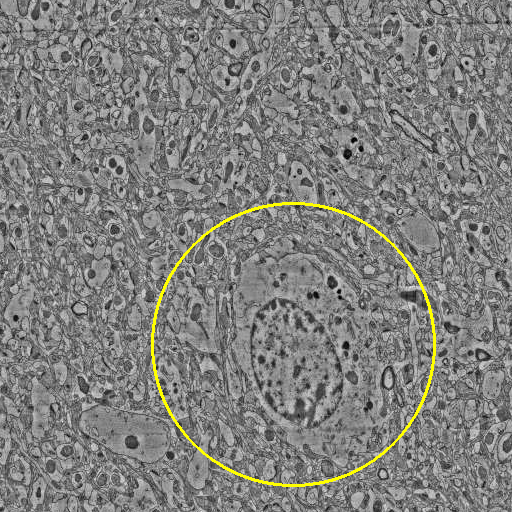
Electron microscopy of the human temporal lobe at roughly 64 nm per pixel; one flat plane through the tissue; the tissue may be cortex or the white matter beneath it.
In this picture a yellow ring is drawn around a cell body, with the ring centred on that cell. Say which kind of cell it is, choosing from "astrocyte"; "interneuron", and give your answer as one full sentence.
Here it is an astrocyte that sits at the centre of the drawn yellow ring.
